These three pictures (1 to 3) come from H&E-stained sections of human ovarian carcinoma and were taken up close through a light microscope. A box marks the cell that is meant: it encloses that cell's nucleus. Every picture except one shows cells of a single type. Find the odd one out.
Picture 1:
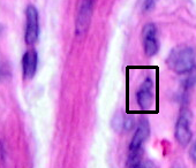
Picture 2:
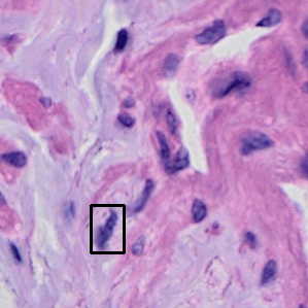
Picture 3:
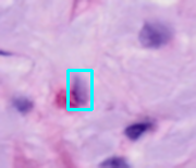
2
